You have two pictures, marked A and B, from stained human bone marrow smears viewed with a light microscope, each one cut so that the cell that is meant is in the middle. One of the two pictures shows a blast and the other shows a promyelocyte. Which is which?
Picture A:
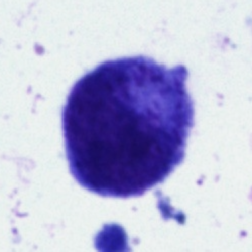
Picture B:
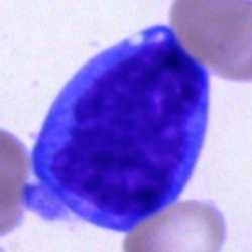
A: promyelocyte
B: blast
